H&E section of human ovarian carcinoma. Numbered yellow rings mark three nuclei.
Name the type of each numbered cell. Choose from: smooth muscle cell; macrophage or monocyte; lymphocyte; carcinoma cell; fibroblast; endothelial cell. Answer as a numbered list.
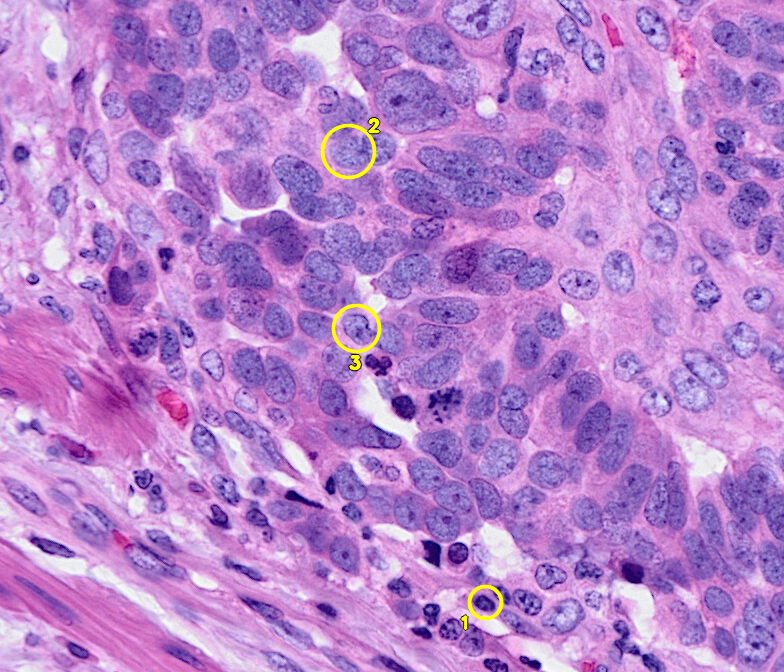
1. lymphocyte
2. carcinoma cell
3. macrophage or monocyte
